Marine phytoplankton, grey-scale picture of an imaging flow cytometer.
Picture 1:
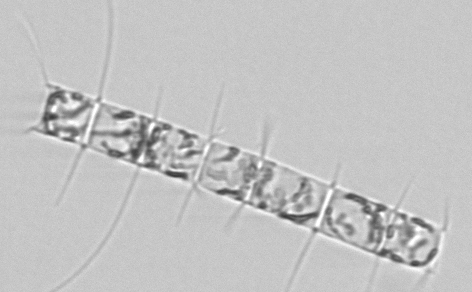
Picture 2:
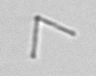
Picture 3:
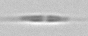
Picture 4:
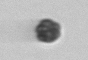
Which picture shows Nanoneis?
Picture 2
